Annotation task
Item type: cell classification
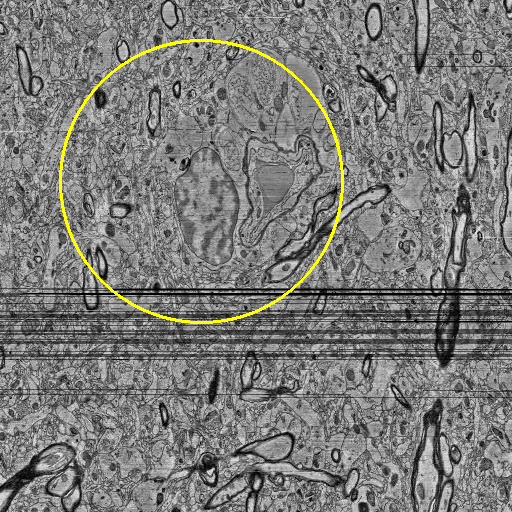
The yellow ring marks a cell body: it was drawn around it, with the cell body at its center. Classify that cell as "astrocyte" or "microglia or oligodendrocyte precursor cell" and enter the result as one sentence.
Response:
The ring's center falls on a microglial cell or oligodendrocyte precursor cell.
